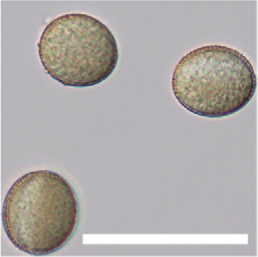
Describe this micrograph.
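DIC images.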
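Three separate pollen grains lie apart on a pale background. Each grain is oval with a thin, finely patterned outer wall. The contents appear granular and yellowish-brown throughout, without distinct internal structures.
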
